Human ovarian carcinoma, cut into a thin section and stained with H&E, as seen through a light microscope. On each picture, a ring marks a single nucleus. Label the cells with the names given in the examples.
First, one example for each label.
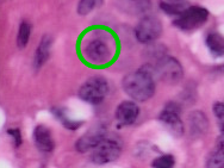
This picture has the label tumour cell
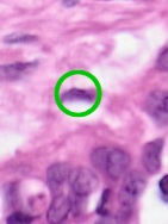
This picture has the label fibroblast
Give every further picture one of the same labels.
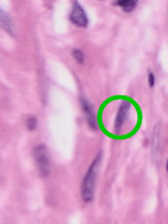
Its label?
fibroblast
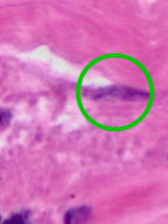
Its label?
fibroblast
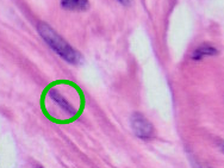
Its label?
fibroblast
